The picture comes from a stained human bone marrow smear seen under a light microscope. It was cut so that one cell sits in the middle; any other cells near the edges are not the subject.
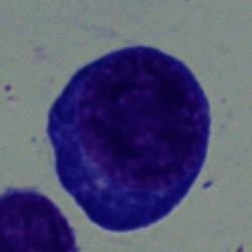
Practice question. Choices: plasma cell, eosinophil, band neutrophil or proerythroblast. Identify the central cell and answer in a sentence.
Here the cell in the middle is a proerythroblast.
